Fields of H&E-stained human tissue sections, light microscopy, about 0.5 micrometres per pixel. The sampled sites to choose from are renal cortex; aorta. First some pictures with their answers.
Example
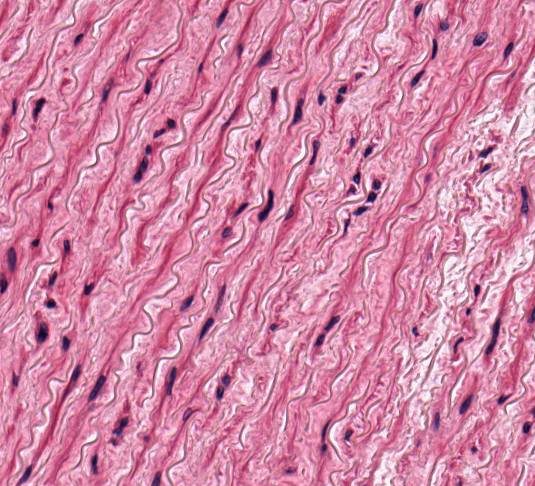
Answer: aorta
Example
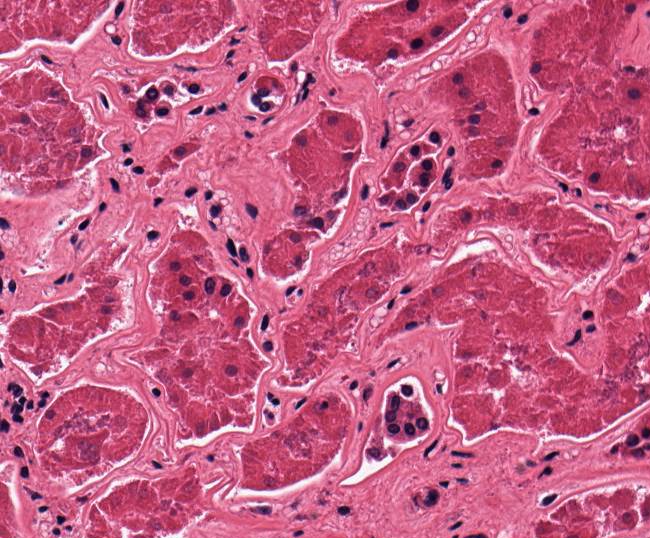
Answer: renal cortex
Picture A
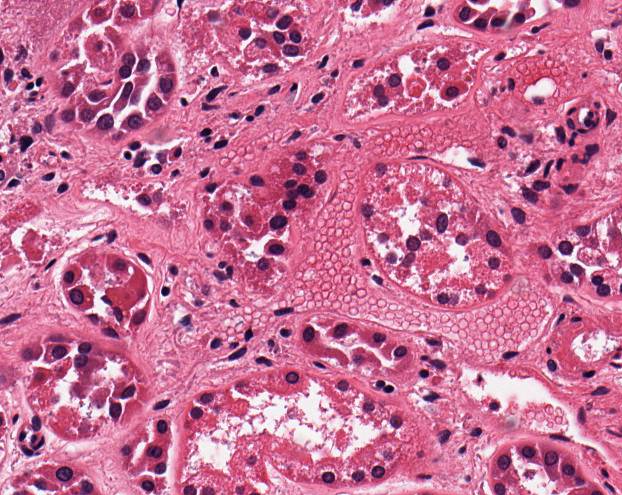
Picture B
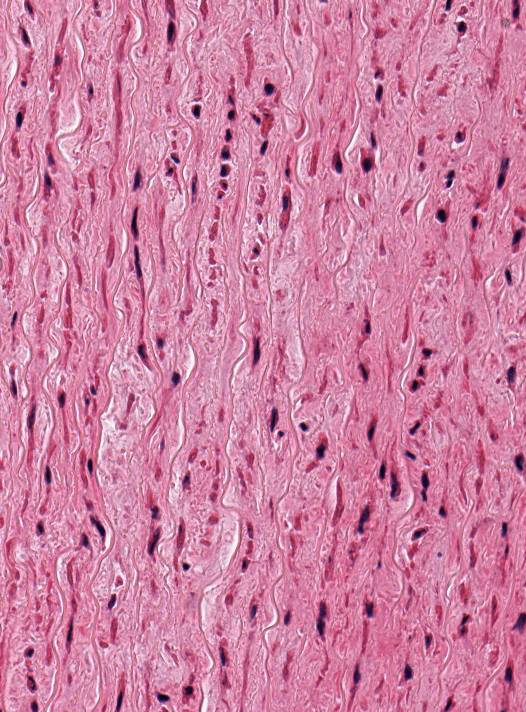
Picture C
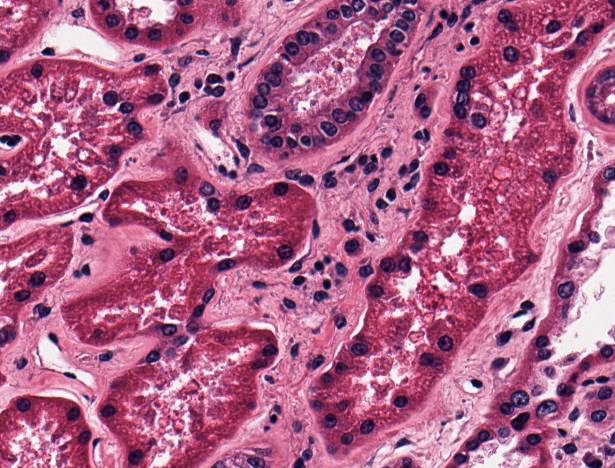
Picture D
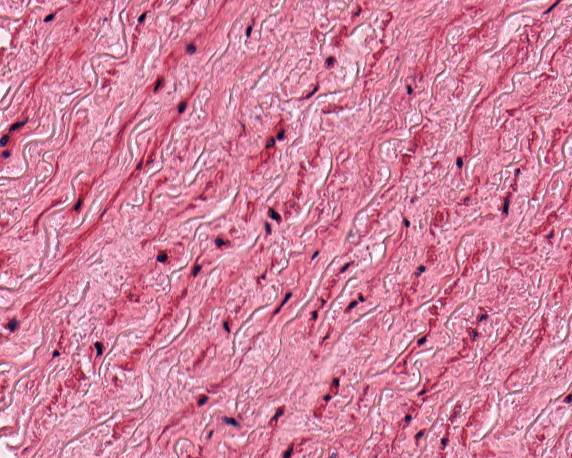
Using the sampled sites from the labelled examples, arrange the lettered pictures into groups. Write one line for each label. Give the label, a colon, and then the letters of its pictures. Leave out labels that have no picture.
renal cortex: A, C
aorta: B, D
